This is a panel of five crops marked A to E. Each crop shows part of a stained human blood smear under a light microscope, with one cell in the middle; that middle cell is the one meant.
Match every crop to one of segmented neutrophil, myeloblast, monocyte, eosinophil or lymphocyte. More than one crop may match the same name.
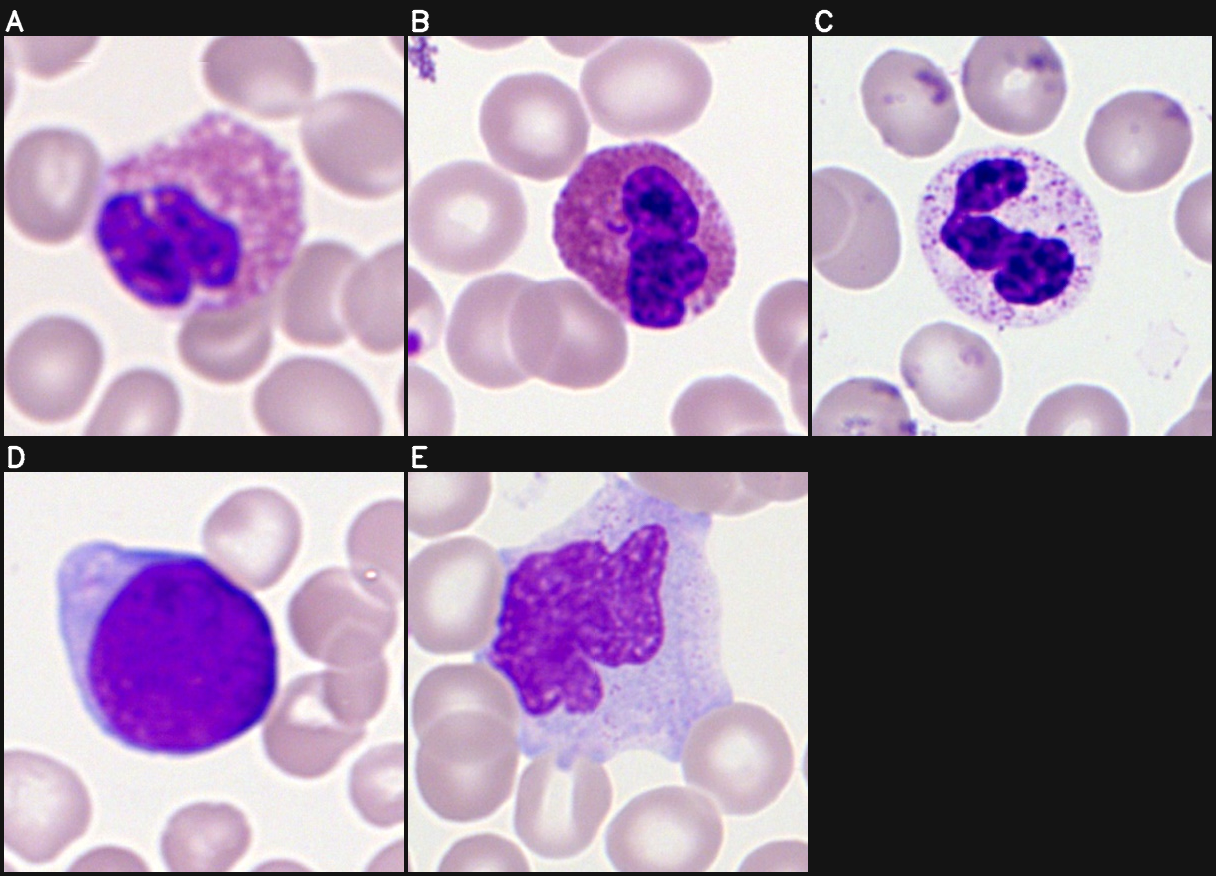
A: eosinophil
B: eosinophil
C: segmented neutrophil
D: myeloblast
E: monocyte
